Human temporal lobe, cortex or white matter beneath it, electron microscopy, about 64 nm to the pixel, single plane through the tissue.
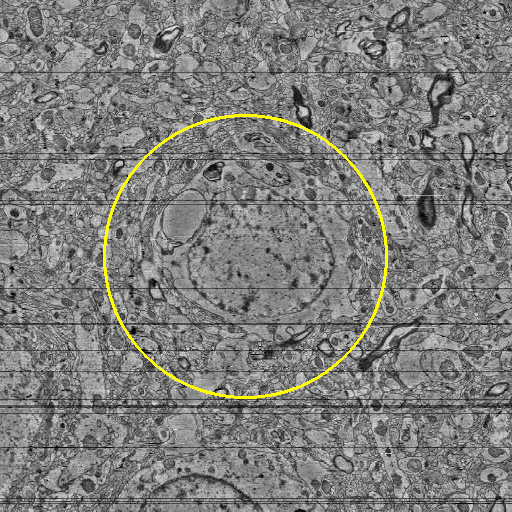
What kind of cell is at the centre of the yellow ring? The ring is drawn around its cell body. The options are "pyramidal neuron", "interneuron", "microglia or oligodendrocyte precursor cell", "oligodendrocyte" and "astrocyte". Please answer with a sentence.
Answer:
The yellow ring marks the cell body of an astrocyte.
